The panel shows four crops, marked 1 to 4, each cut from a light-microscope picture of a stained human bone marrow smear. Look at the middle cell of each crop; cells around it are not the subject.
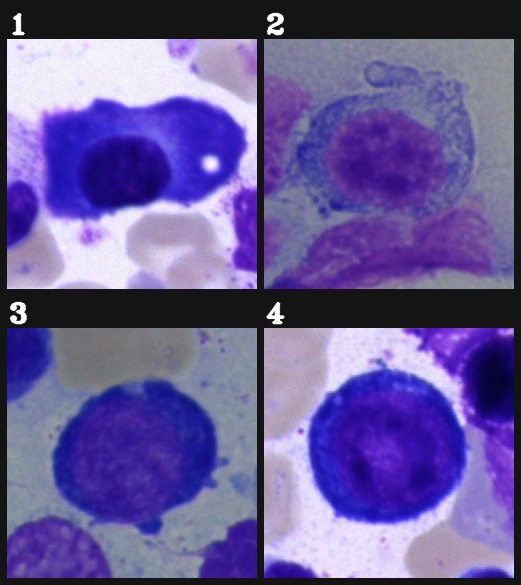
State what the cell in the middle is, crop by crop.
1: plasma cell
2: lymphocyte
3: proerythroblast
4: proerythroblast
